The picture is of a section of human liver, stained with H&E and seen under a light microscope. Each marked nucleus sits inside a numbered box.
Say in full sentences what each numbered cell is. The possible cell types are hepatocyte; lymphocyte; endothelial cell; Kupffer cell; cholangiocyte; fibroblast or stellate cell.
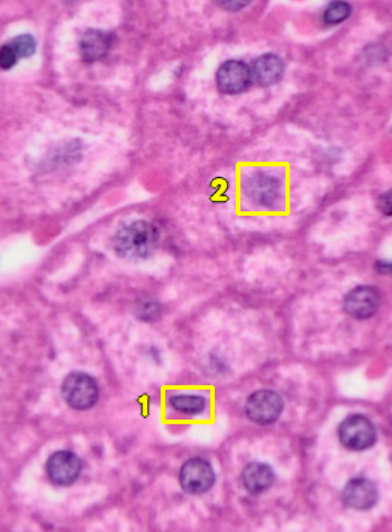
Cell 1 is a Kupffer cell. Cell 2 is a hepatocyte.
